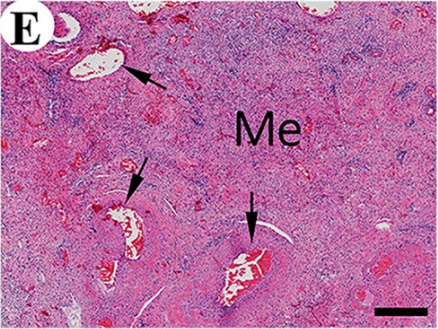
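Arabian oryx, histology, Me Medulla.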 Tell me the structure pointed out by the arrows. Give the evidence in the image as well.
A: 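Large blood vessels. Arrowed spaces are wide lumina with irregular outlines. They contain red blood cells.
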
